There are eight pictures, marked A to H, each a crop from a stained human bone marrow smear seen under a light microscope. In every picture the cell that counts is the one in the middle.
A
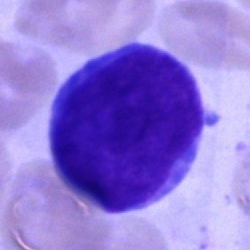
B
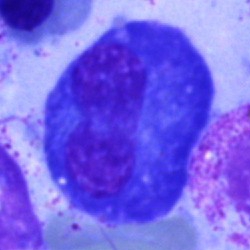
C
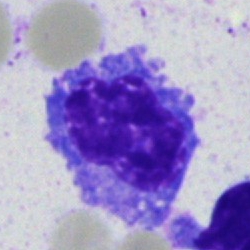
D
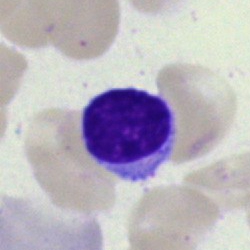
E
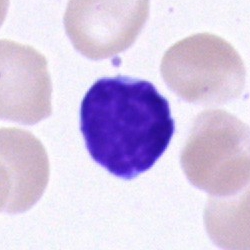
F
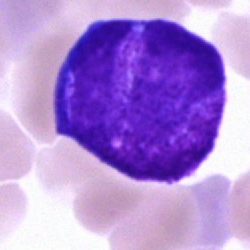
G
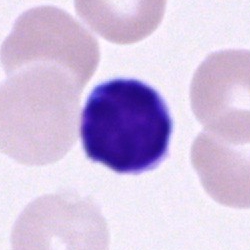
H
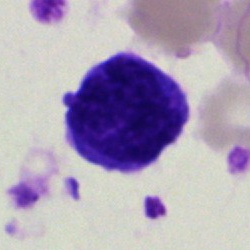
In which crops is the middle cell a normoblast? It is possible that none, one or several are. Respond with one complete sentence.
Any crop chosen shows a central cell that is not a normoblast.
